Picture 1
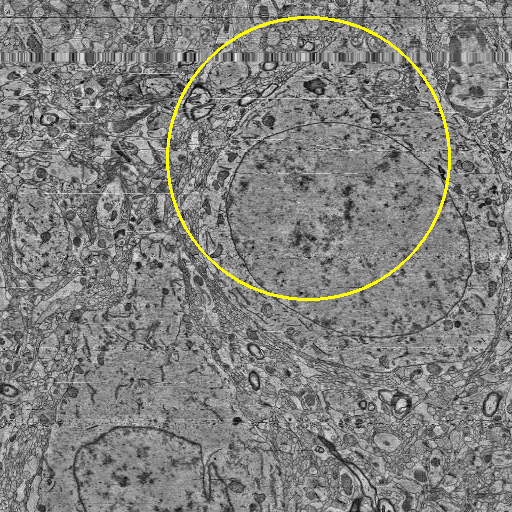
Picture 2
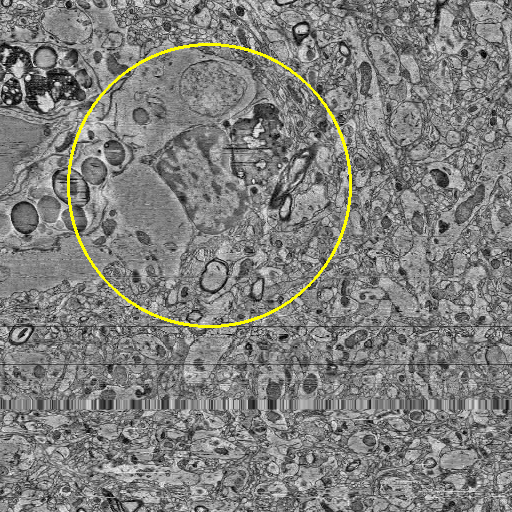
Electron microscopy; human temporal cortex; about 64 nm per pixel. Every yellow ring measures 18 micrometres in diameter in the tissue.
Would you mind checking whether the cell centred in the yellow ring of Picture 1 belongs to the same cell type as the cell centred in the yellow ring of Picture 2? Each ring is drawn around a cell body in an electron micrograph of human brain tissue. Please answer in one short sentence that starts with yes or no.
No, the two cells are of two types.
